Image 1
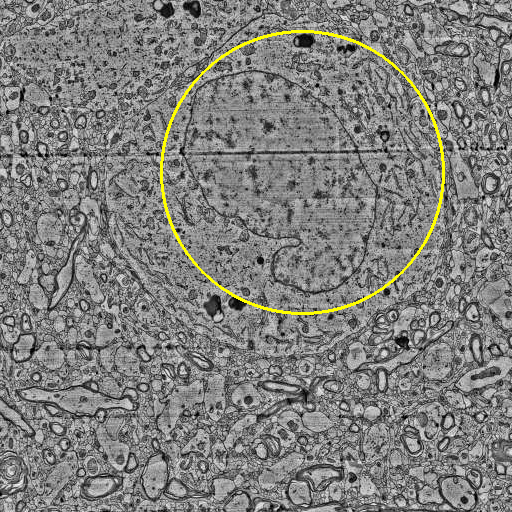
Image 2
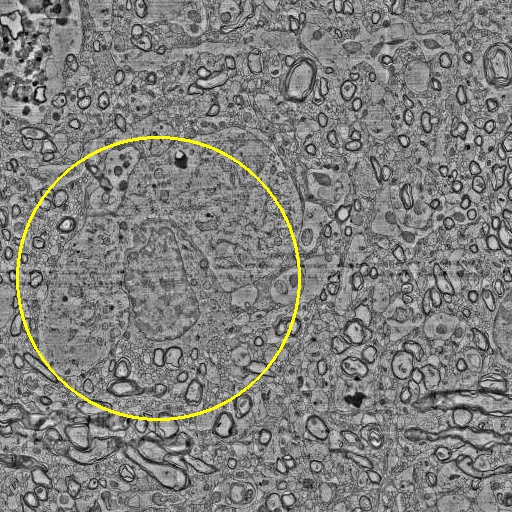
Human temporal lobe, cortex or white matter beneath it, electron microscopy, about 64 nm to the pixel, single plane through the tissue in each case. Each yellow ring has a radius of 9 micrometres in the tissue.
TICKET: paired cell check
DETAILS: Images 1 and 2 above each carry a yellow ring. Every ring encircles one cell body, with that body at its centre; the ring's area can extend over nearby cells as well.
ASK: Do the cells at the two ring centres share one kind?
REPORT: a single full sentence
No, the ring-centre cells of Images 1 and 2 belong to two kinds.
